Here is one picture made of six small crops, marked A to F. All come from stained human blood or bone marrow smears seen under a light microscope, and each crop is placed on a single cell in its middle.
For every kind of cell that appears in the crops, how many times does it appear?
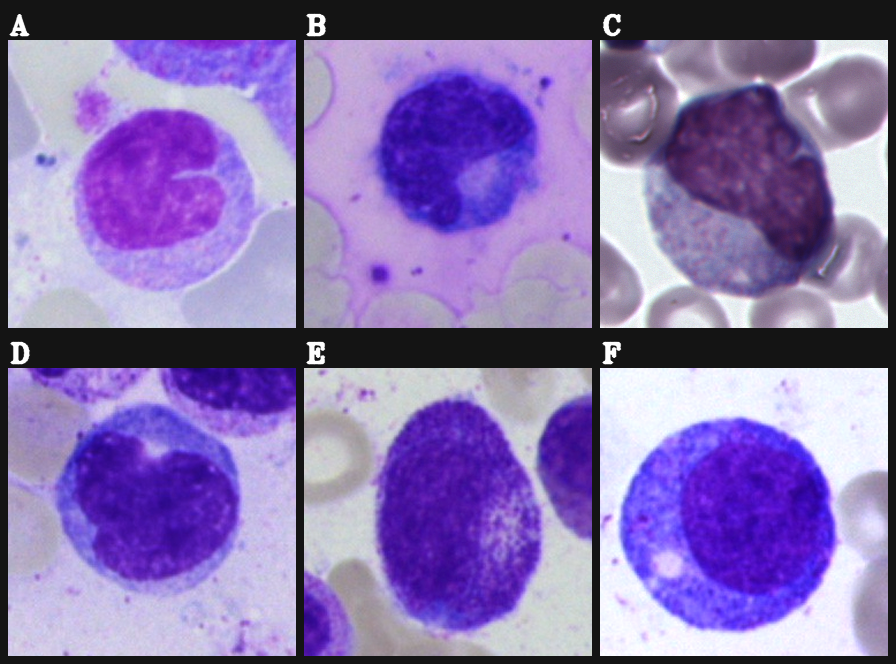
monocyte: 3
promyelocyte: 3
